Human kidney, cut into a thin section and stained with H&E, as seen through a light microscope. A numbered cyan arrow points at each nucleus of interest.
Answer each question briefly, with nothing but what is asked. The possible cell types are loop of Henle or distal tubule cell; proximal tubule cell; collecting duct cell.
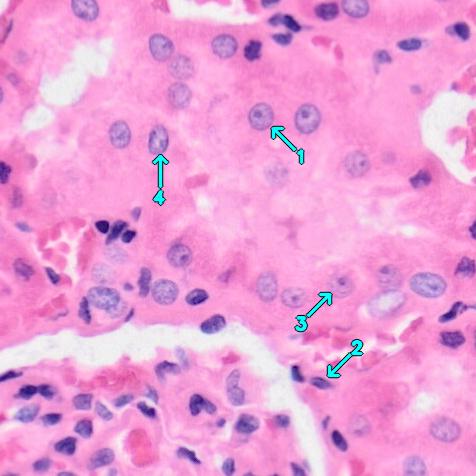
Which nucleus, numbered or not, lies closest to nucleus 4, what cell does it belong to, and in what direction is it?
a proximal tubule cell; to the left of nucleus 4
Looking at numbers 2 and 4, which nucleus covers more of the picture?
4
